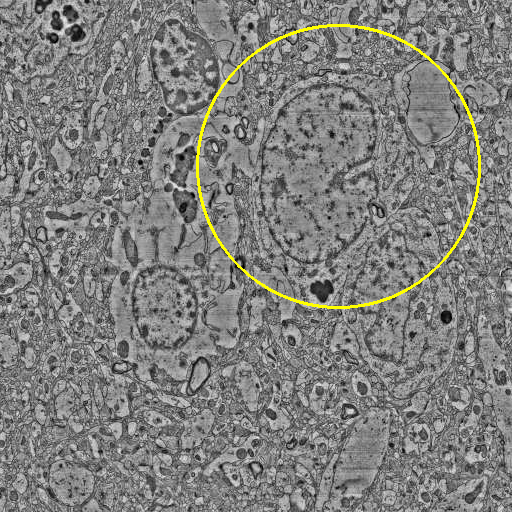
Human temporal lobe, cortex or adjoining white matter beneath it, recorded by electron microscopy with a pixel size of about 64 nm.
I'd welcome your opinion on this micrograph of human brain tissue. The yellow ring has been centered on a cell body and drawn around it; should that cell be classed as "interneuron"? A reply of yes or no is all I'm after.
yes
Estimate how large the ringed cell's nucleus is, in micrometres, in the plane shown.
In this plane the nucleus measures roughly 12 by 8 micrometers.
